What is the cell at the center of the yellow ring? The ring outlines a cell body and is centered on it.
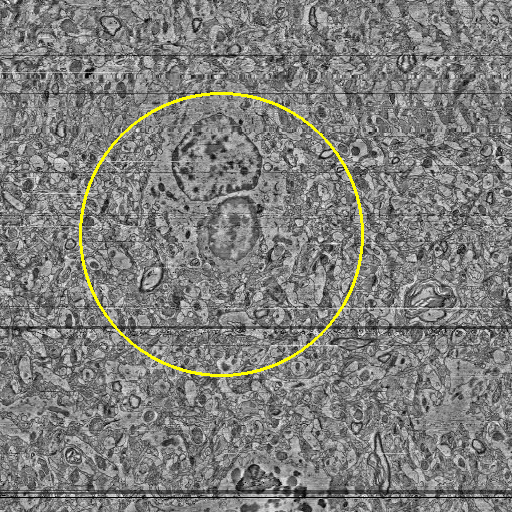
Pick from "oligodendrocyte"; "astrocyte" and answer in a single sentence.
The yellow ring is centered on an oligodendrocyte.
